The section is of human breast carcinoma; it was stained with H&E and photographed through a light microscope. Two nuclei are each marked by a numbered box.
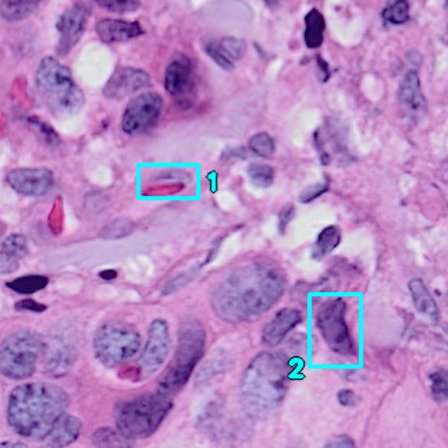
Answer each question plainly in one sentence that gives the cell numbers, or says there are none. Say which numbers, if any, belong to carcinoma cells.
Of the cells carrying numbers, just cell 2 is a carcinoma cell.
